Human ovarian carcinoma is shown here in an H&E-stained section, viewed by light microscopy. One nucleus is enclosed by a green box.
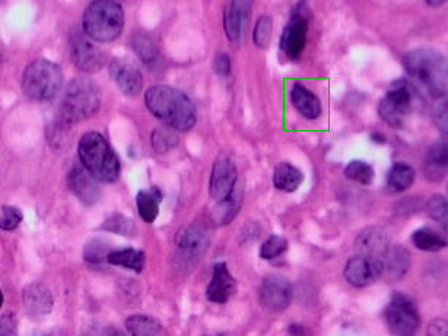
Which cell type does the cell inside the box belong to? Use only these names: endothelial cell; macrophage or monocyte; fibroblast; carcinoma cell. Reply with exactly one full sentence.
In this section, the cell inside the box is a macrophage or monocyte.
